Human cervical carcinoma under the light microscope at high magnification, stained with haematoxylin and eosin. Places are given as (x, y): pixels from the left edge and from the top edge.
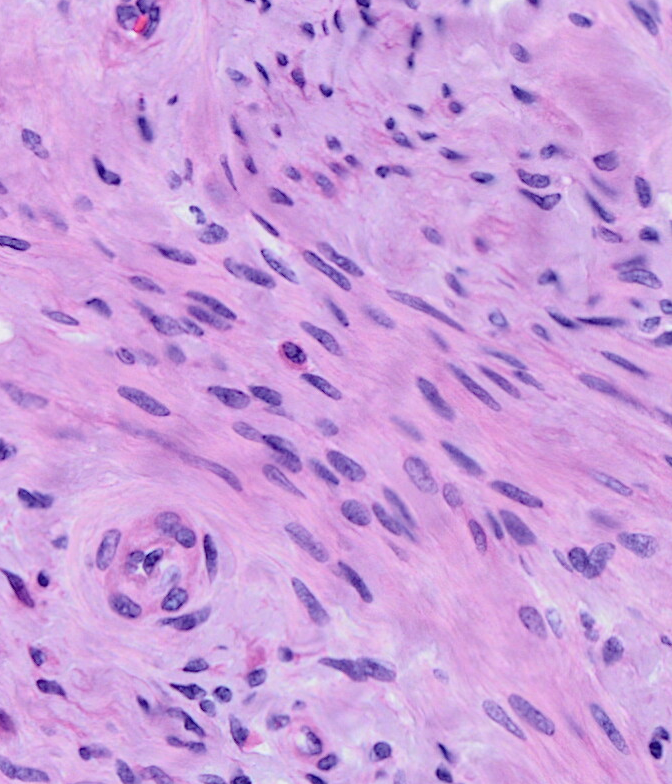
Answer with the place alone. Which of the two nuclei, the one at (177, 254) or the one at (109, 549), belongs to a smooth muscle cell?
(109, 549)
